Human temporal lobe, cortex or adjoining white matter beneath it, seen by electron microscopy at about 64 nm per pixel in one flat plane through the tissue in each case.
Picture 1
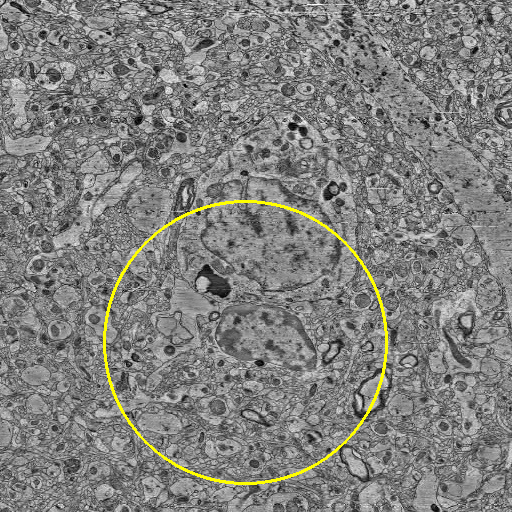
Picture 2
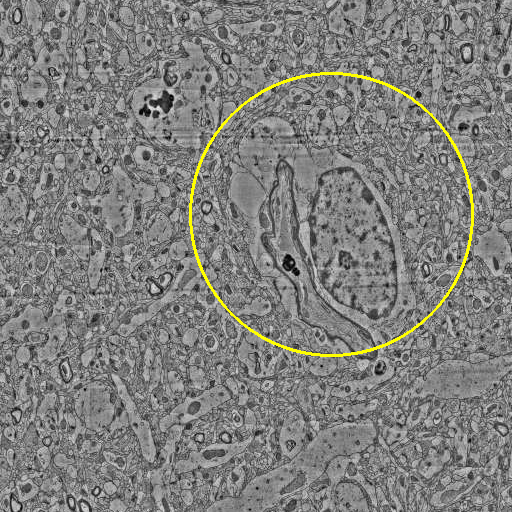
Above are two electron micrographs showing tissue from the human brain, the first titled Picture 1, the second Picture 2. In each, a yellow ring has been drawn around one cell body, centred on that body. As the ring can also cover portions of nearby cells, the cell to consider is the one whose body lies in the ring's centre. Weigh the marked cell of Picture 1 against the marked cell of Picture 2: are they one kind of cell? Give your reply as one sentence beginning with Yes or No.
Yes, the two cells sitting at the ring centres in the pictures are of one kind.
